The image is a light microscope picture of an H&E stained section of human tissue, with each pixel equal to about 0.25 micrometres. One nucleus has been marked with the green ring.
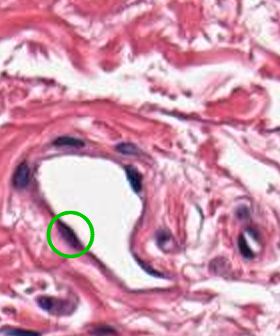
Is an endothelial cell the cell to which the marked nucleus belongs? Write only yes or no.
yes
